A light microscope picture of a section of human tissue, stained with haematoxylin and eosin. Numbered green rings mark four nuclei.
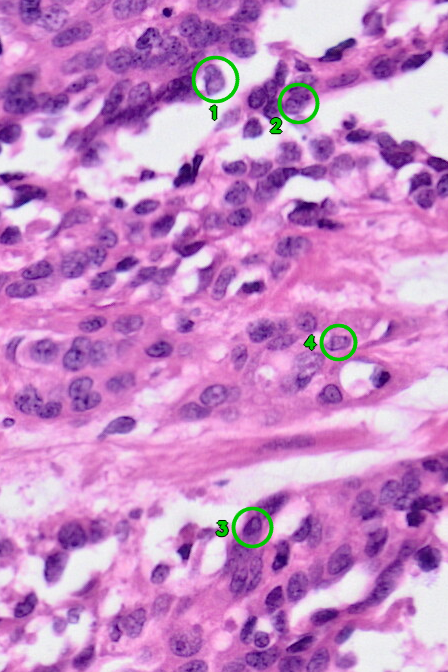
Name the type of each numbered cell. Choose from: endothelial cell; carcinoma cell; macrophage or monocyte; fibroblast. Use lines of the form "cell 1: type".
cell 1: carcinoma cell
cell 2: carcinoma cell
cell 3: carcinoma cell
cell 4: macrophage or monocyte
